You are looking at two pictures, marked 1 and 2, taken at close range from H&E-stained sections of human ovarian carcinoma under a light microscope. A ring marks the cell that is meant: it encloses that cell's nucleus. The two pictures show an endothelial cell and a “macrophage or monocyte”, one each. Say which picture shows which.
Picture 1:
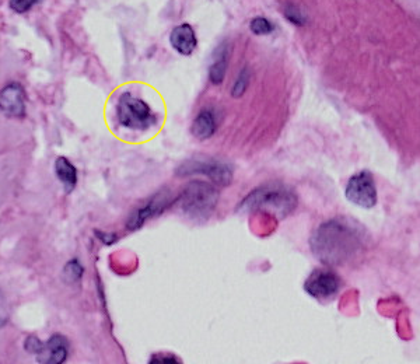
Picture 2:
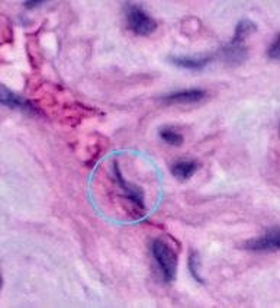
1: macrophage or monocyte
2: endothelial cell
